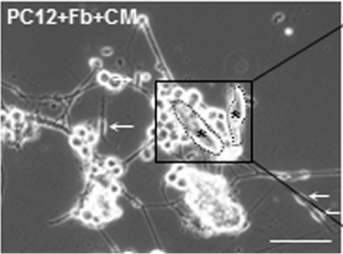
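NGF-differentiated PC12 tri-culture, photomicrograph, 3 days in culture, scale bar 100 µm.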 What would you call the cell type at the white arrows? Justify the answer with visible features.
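Arrows point to thin elongated spindle-shaped cells. They are flatter and darker than the rounded clustered cells. The answer: fibroblasts.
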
